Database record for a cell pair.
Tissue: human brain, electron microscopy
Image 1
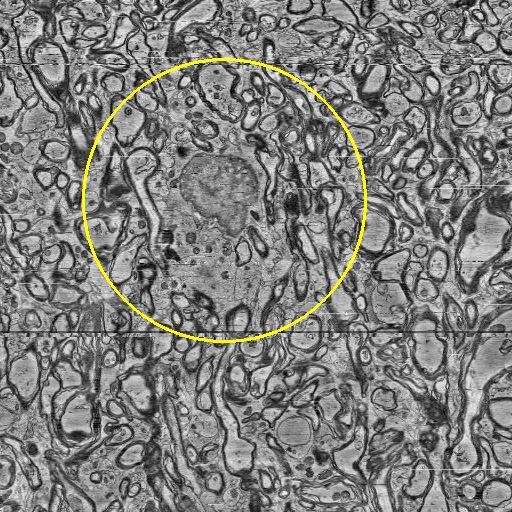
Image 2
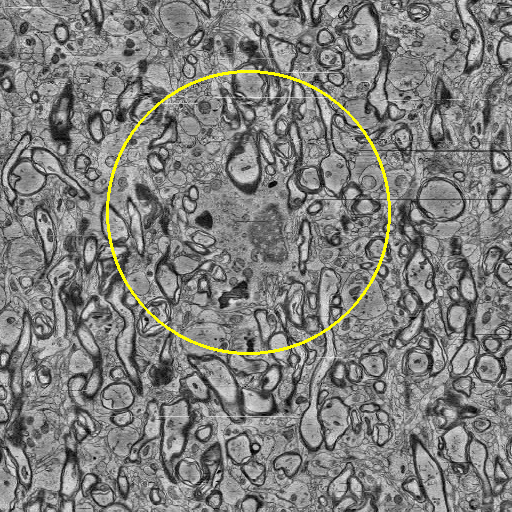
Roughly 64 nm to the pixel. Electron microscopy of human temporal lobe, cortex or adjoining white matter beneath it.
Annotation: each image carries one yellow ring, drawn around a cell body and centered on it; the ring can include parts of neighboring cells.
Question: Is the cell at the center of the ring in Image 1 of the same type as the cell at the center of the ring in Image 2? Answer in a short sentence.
Yes, the cells are of the same type.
